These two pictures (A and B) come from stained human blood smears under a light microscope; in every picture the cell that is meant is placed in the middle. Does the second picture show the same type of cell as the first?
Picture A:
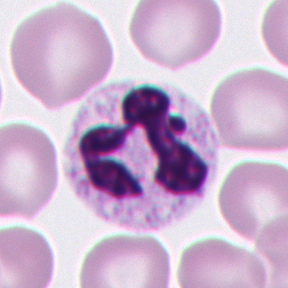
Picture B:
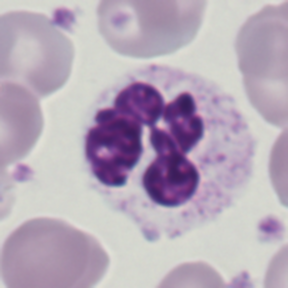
yes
